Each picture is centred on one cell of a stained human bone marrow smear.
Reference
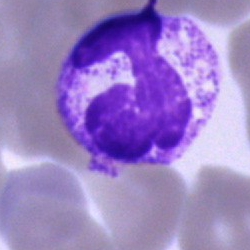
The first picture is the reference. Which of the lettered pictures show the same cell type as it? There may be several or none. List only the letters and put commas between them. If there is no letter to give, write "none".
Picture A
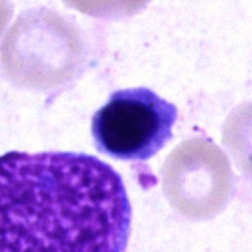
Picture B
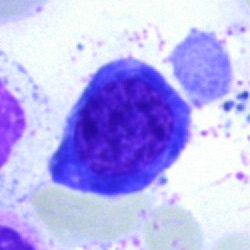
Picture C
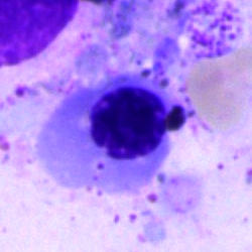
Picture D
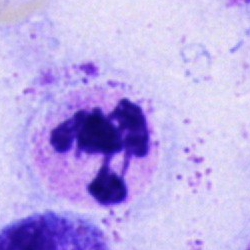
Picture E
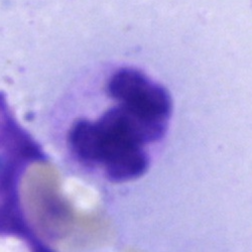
D, E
